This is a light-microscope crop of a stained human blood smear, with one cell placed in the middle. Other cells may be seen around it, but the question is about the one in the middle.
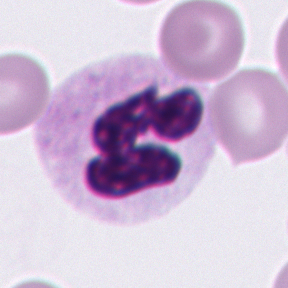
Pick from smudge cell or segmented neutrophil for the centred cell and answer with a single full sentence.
Here the centrally located cell is a segmented neutrophil.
